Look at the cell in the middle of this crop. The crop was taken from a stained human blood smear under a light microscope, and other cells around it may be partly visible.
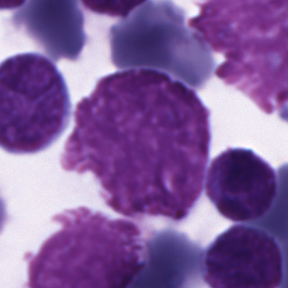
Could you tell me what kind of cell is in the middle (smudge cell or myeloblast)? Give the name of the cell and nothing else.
smudge cell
